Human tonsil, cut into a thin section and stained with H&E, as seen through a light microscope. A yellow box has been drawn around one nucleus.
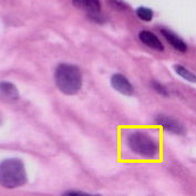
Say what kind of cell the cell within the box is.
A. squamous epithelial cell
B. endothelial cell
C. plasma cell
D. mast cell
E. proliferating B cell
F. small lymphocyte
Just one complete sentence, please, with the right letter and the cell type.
Option A names the cell within the box correctly as a squamous epithelial cell.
